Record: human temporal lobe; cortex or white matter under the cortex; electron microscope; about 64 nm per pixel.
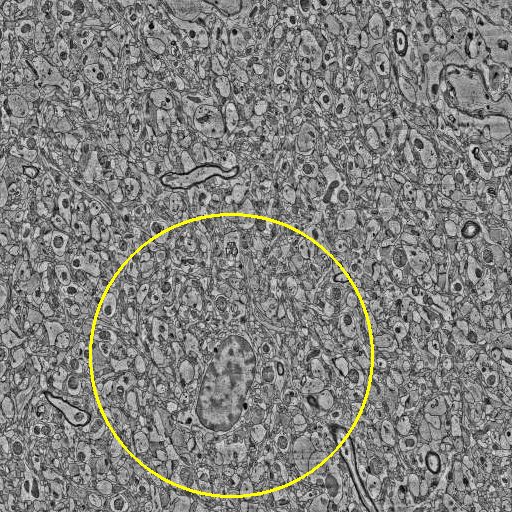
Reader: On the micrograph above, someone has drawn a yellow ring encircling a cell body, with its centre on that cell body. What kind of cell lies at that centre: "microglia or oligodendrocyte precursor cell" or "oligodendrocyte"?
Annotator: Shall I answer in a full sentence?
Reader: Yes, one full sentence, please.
Here a microglial cell or oligodendrocyte precursor cell sits at the centre of the yellow ring drawn on the micrograph.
